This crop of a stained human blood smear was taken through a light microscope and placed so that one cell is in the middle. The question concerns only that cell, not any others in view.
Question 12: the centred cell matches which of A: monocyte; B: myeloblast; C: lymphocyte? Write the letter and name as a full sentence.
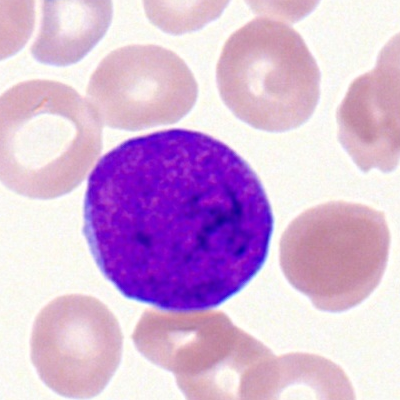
The cell placed in the middle is a myeloblast; option B is correct.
